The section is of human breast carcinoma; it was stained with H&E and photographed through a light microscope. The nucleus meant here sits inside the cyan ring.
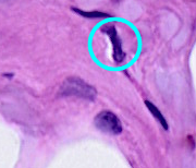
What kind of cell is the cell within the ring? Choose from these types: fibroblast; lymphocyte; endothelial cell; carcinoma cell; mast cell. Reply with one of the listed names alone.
fibroblast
